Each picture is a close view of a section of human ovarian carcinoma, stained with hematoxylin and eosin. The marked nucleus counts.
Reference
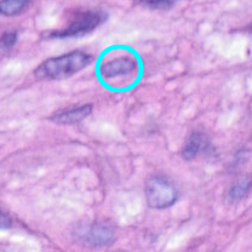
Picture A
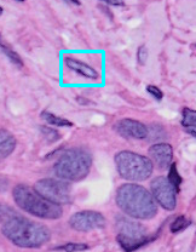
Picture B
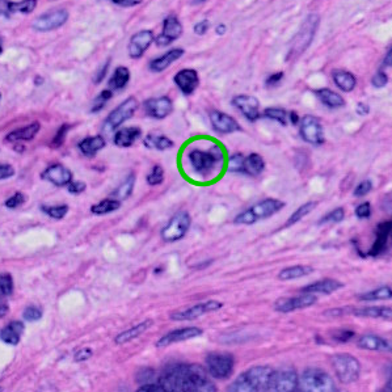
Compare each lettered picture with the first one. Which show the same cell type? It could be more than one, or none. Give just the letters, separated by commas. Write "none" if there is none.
A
